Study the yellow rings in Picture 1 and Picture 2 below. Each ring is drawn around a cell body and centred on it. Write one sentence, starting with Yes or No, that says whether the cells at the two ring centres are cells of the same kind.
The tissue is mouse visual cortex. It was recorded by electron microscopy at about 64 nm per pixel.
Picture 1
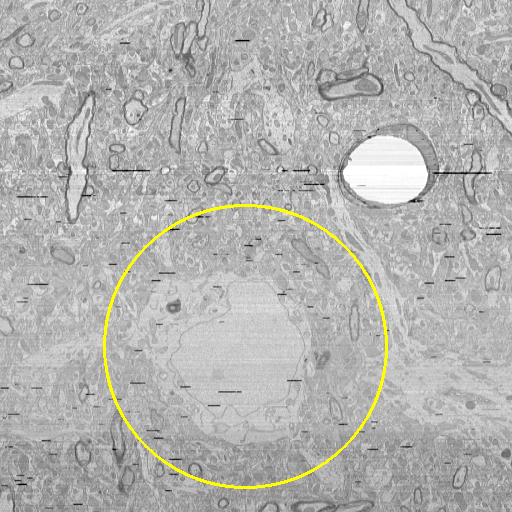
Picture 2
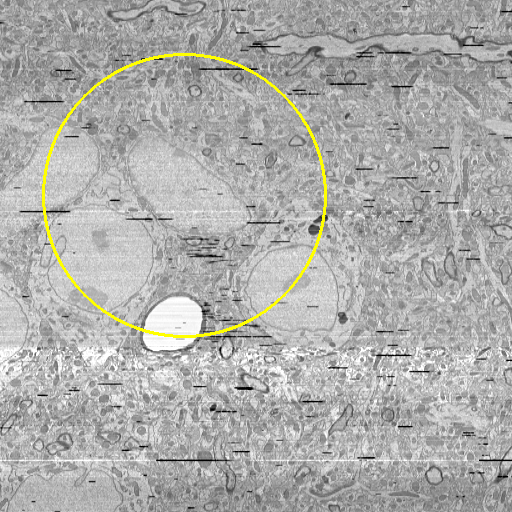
No, the cells at the ring centres are of two kinds.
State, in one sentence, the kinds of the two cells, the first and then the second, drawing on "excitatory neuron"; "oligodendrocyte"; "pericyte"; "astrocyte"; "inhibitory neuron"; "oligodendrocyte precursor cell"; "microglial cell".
The ring in the second picture is centred on an astrocyte, the ring in the first on an excitatory neuron.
